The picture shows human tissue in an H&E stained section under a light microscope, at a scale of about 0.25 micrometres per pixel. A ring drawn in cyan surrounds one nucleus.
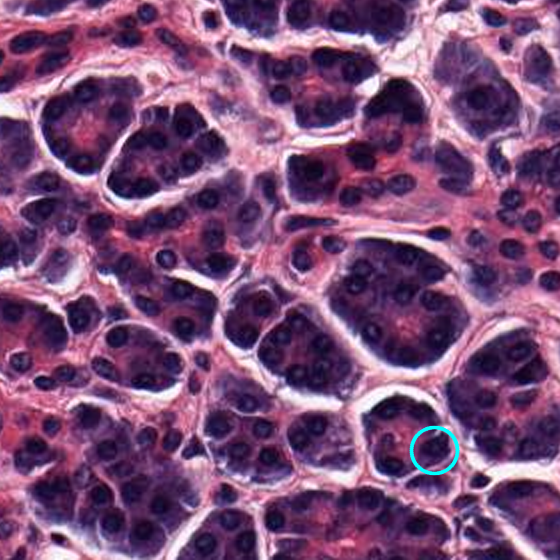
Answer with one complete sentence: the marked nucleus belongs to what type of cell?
The mark in this picture falls on the nucleus of a pancreatic acinar cell.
